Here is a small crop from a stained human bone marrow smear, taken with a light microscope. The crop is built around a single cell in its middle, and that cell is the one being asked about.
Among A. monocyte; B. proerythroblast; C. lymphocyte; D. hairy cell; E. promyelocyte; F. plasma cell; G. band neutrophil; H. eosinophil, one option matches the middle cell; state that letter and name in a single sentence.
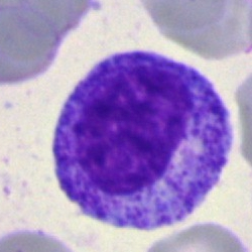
The cell occupying the centre is a promyelocyte; option E is thus the correct choice.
